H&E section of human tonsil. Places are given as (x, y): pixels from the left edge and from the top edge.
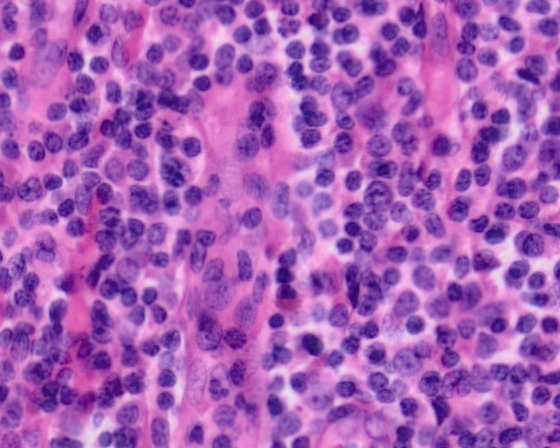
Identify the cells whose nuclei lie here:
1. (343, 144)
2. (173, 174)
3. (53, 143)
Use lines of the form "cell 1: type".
cell 1: plasma cell
cell 2: proliferating B cell
cell 3: plasma cell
